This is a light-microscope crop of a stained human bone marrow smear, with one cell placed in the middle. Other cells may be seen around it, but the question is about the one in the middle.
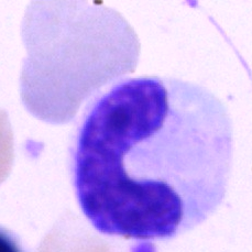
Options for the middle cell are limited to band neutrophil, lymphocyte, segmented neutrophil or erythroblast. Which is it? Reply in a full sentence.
What the crop centres on is a band neutrophil.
